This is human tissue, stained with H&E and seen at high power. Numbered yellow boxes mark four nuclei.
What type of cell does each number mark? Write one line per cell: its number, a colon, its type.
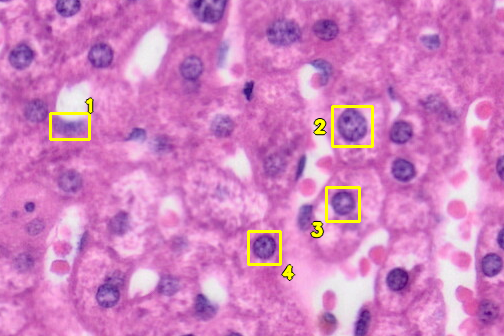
1: endothelial cell
2: hepatocyte
3: hepatocyte
4: hepatocyte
